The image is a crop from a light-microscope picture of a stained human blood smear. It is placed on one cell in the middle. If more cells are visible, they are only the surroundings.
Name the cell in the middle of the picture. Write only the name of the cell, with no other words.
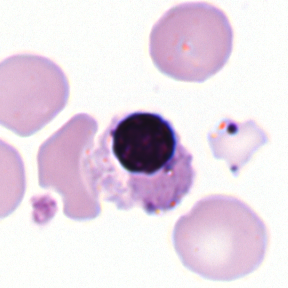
normoblast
